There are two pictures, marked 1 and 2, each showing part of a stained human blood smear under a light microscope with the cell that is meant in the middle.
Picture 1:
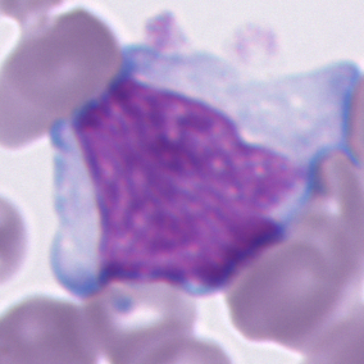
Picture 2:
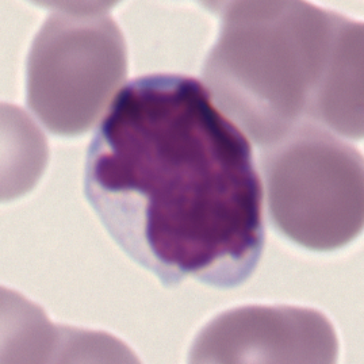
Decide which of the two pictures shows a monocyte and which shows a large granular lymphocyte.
1: monocyte
2: large granular lymphocyte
